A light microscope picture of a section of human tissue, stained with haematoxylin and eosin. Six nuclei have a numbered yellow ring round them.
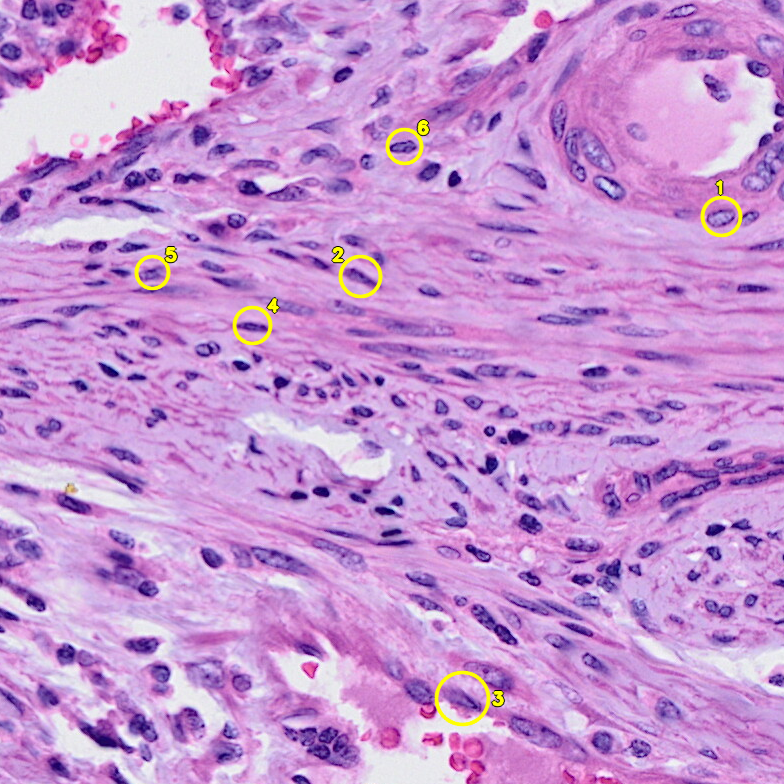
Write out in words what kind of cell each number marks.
Cell 1 is a smooth muscle cell, cell 2 is a smooth muscle cell, cell 3 is an endothelial cell, cell 4 is a smooth muscle cell, cell 5 is a smooth muscle cell and cell 6 is a lymphocyte.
